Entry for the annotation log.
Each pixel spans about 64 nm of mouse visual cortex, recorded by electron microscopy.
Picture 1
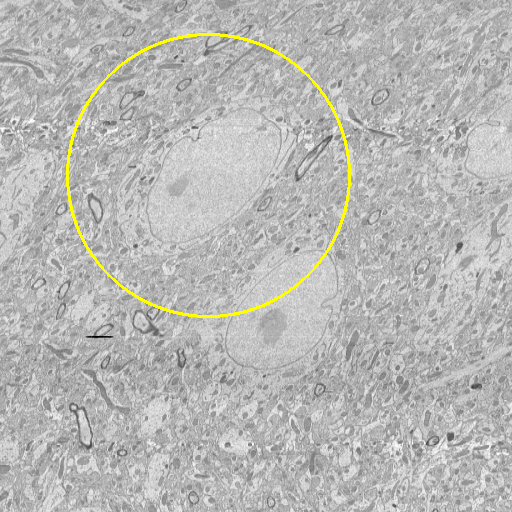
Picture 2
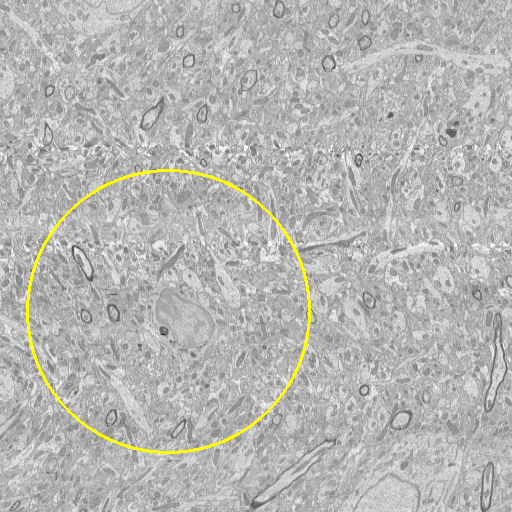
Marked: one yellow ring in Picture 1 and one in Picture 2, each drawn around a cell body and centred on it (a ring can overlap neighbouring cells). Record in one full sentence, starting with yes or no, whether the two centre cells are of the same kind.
No, the two cells are of two kinds.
